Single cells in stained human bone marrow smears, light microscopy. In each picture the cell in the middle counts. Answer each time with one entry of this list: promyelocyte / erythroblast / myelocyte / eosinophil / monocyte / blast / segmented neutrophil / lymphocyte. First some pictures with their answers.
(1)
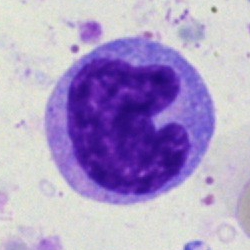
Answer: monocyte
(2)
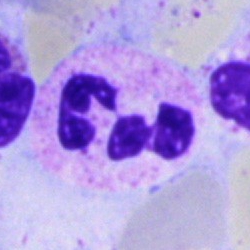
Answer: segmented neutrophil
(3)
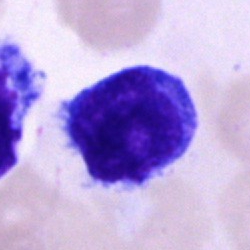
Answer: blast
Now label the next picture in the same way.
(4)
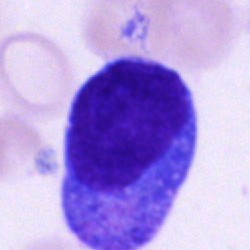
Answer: promyelocyte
